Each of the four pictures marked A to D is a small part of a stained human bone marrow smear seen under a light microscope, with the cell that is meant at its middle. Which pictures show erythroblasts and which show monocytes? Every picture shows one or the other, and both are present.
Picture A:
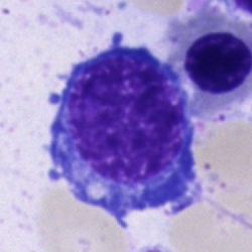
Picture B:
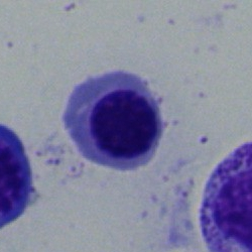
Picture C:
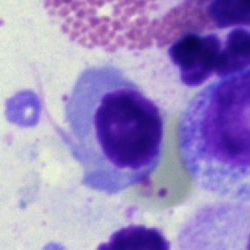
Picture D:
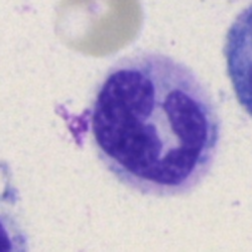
A: erythroblast
B: erythroblast
C: erythroblast
D: monocyte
